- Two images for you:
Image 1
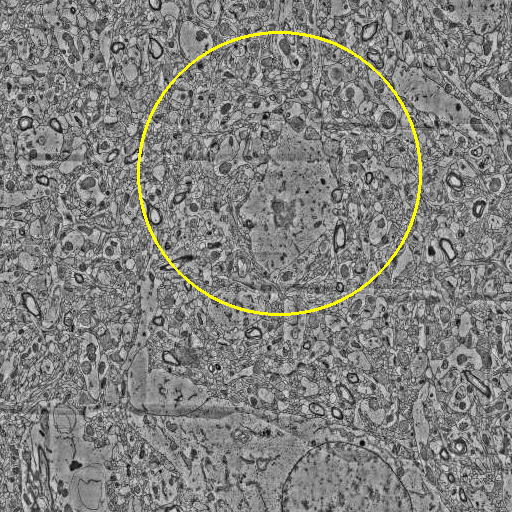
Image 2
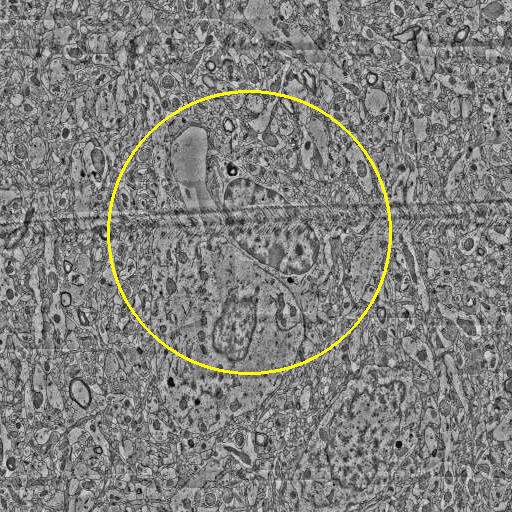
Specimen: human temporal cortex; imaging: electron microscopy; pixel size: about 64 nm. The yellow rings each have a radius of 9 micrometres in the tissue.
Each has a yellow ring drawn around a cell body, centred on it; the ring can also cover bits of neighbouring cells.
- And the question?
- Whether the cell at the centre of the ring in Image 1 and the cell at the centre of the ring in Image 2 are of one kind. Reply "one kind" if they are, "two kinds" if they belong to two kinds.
one kind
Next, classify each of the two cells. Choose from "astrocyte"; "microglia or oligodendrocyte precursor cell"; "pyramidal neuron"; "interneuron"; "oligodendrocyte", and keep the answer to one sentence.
In the first picture and in the second, the ring is centred on a microglial cell or oligodendrocyte precursor cell.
